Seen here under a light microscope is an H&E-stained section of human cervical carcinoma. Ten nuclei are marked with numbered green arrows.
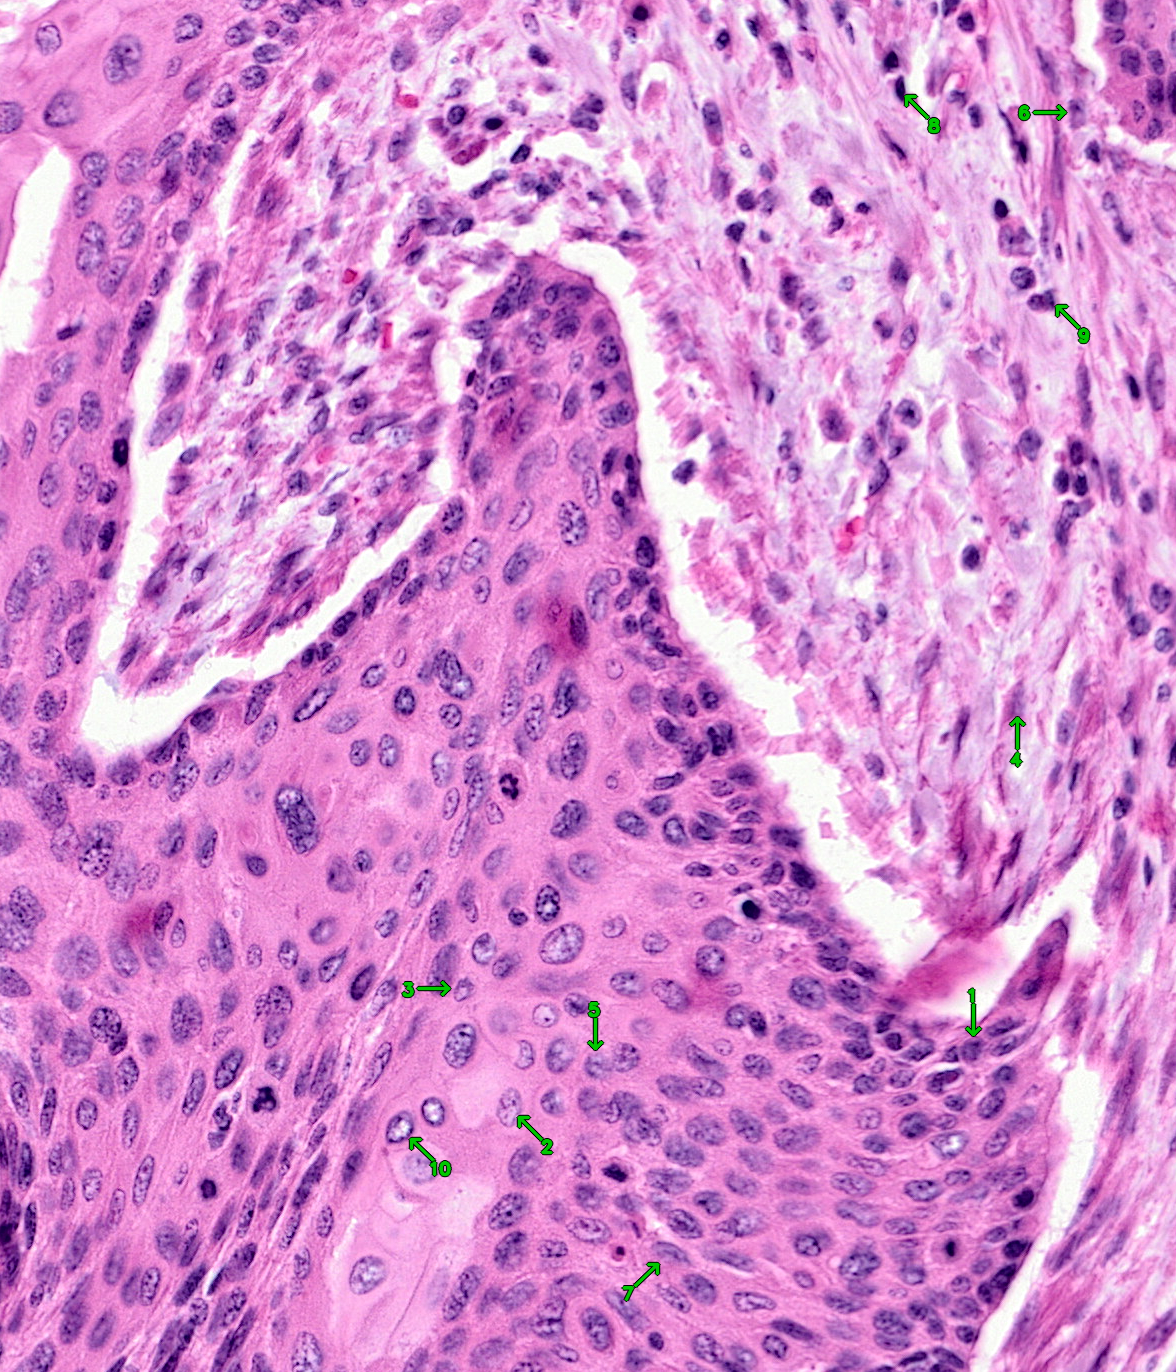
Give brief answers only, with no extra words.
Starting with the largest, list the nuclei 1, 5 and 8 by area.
5, 1, 8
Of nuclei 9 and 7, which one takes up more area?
7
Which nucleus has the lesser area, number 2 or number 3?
3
